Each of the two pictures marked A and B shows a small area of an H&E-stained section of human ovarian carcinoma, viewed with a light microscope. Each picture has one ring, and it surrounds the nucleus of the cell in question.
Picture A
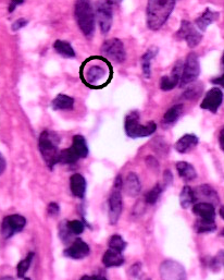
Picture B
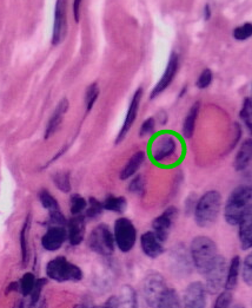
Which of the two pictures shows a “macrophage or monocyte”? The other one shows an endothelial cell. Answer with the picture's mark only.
A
